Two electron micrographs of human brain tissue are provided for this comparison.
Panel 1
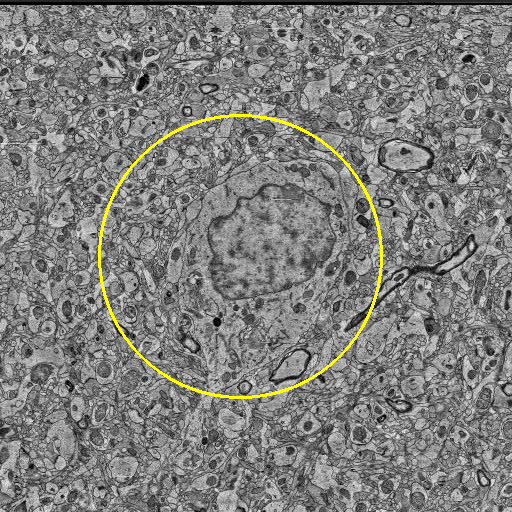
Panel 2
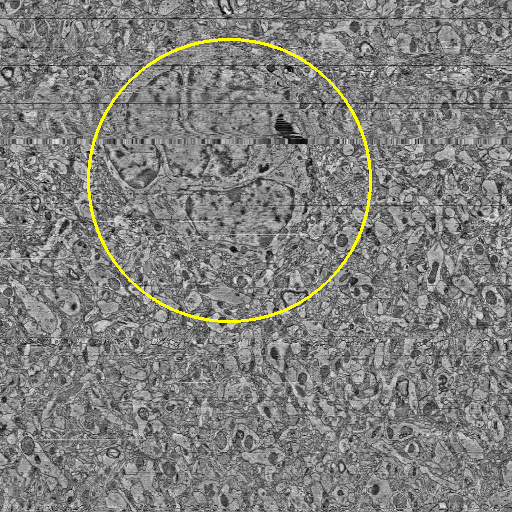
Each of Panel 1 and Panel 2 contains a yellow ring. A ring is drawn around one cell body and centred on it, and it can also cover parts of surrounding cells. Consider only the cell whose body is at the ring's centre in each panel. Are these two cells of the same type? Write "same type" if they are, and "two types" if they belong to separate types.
two types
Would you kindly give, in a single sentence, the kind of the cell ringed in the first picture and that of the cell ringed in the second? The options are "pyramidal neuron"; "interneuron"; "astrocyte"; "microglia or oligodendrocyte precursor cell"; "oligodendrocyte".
The second cell is a microglial cell or oligodendrocyte precursor cell, and the first cell is an interneuron.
